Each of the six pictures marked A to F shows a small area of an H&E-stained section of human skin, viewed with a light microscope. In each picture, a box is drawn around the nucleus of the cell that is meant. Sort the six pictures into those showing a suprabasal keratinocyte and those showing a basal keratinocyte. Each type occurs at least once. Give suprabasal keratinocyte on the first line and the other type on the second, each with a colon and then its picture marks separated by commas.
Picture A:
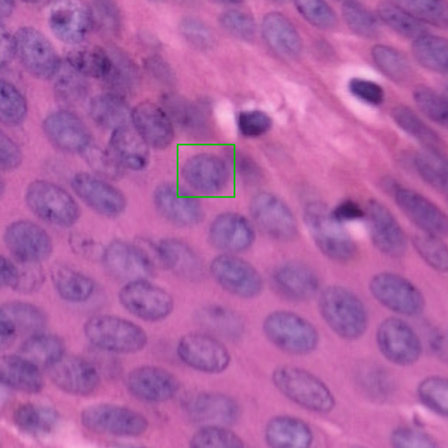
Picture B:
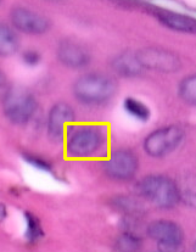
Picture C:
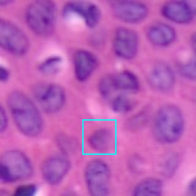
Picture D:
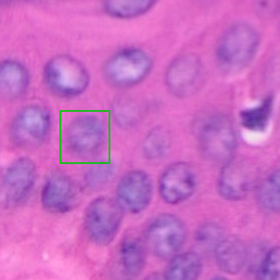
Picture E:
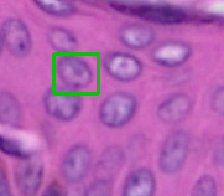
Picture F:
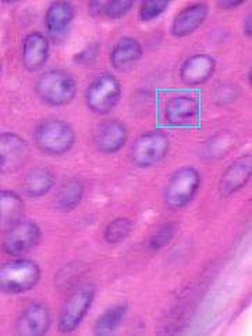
suprabasal keratinocyte: D, E, F
basal keratinocyte: A, B, C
